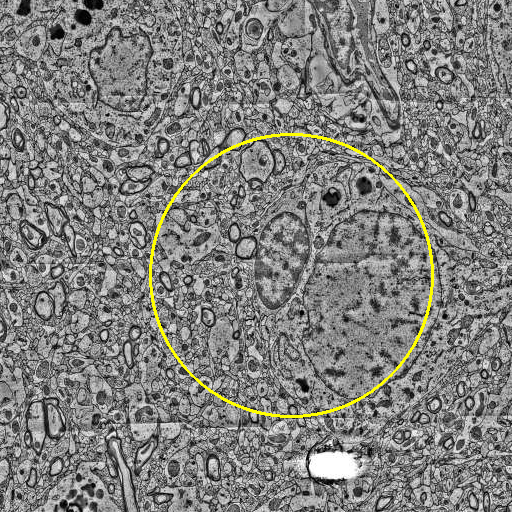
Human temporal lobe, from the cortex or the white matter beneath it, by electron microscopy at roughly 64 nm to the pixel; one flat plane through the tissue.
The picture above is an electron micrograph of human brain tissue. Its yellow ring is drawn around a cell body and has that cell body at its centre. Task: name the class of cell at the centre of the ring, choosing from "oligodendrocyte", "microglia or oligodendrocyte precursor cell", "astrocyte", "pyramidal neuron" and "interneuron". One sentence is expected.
The ring surrounds the body of an oligodendrocyte.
